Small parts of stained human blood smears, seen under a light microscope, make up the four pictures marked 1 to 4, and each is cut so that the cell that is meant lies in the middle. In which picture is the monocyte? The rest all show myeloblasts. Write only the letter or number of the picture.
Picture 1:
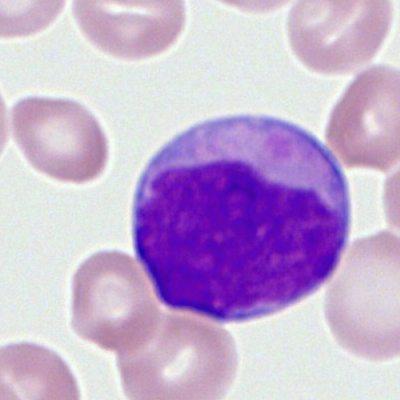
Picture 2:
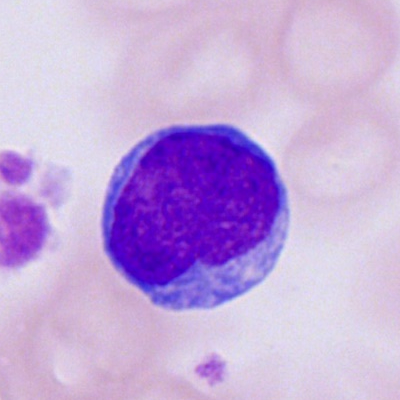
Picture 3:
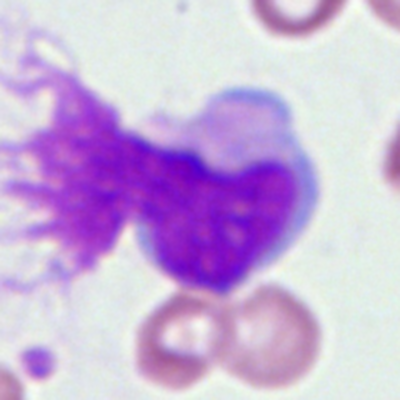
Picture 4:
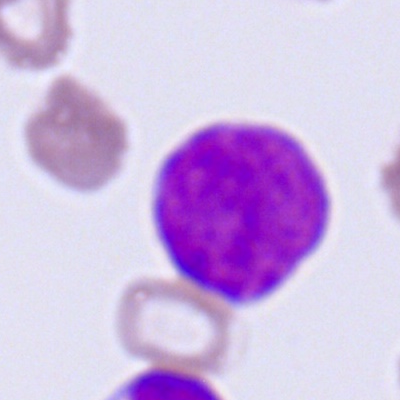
3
